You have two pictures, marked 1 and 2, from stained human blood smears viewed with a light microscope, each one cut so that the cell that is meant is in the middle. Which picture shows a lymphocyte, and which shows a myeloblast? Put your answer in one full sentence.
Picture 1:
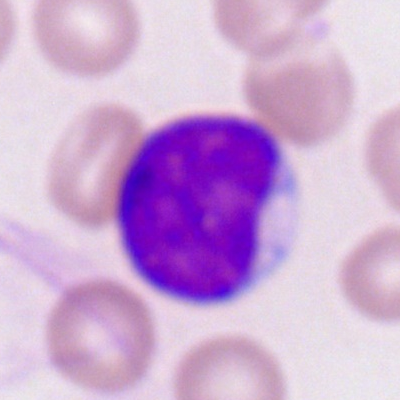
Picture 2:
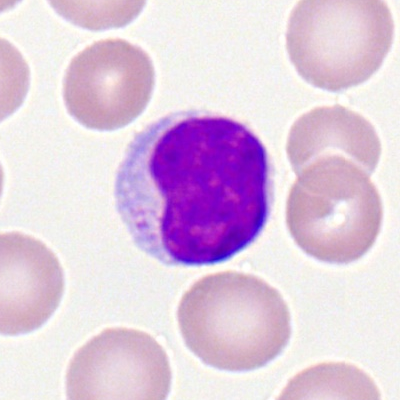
Picture 1 shows a myeloblast and picture 2 shows a lymphocyte.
